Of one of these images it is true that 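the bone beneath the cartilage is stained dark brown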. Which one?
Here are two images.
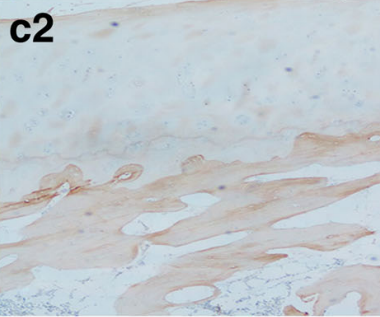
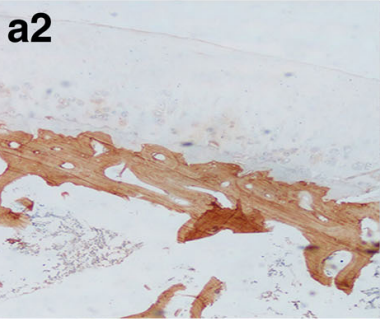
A: The second image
